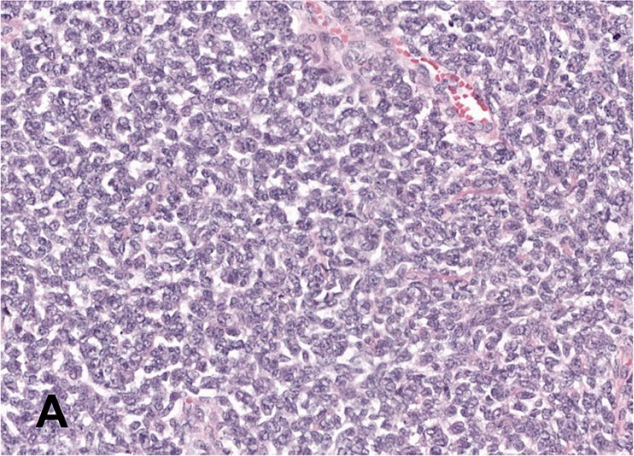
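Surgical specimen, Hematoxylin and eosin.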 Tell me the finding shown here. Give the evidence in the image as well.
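Small to medium sized cells with scant cytoplasm. Densely packed sheet of cells with little pink cytoplasm between nuclei. Cells are small to medium and fairly uniform in size. Nuclei occupy most of each cell.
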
